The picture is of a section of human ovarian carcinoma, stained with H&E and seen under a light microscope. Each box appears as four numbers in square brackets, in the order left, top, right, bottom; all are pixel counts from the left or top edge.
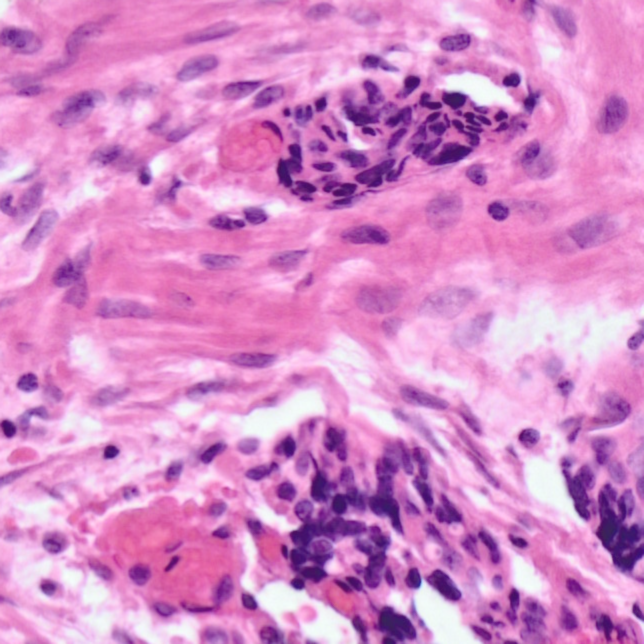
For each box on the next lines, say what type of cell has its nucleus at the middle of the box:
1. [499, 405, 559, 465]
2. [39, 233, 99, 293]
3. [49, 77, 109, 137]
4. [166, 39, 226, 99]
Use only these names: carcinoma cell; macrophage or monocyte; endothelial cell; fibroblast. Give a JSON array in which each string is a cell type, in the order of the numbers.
["macrophage or monocyte", "fibroblast", "fibroblast", "fibroblast"]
